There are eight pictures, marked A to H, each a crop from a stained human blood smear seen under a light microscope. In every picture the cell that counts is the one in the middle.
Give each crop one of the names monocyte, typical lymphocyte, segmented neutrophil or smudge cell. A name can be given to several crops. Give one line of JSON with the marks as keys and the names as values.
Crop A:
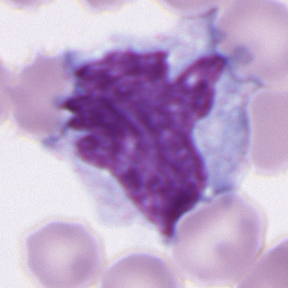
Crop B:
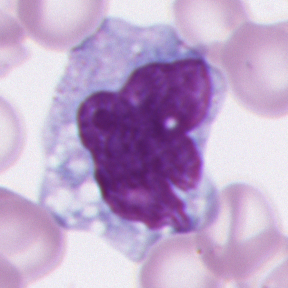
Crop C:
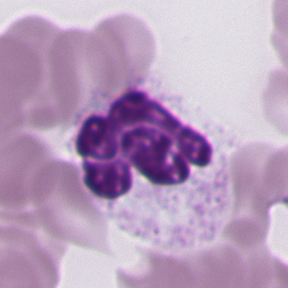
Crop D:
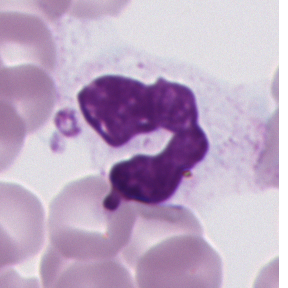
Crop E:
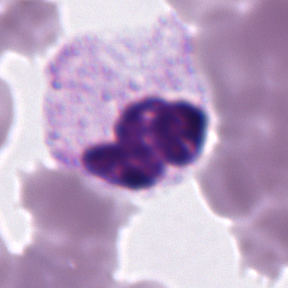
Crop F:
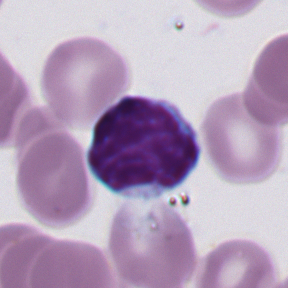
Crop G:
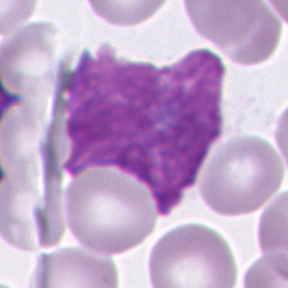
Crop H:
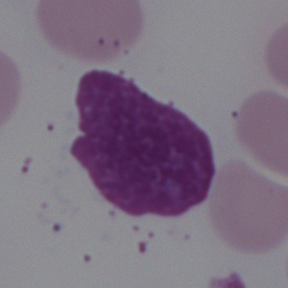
{"A": "monocyte", "B": "monocyte", "C": "segmented neutrophil", "D": "segmented neutrophil", "E": "segmented neutrophil", "F": "typical lymphocyte", "G": "smudge cell", "H": "smudge cell"}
